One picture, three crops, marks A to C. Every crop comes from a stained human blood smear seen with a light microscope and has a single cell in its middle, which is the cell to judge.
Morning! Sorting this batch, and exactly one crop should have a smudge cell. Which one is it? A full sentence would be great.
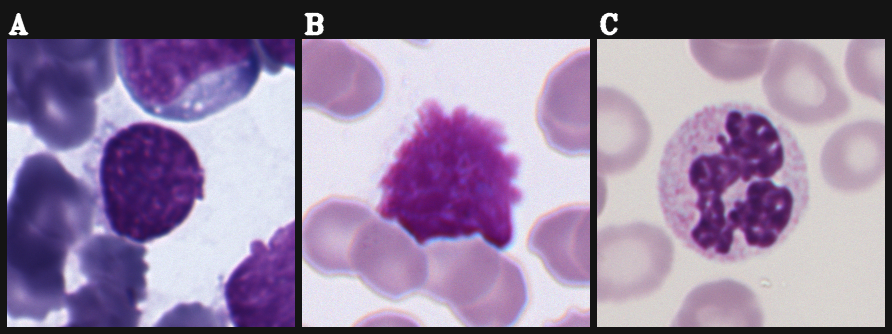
The crop that has a smudge cell in the middle is crop B.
